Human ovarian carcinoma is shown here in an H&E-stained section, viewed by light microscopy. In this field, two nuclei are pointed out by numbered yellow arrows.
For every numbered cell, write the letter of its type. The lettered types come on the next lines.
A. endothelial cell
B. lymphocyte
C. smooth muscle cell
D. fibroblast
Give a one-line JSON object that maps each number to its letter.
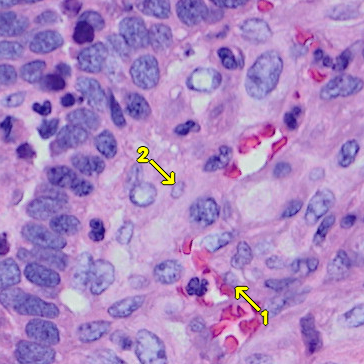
{"1": "A", "2": "D"}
